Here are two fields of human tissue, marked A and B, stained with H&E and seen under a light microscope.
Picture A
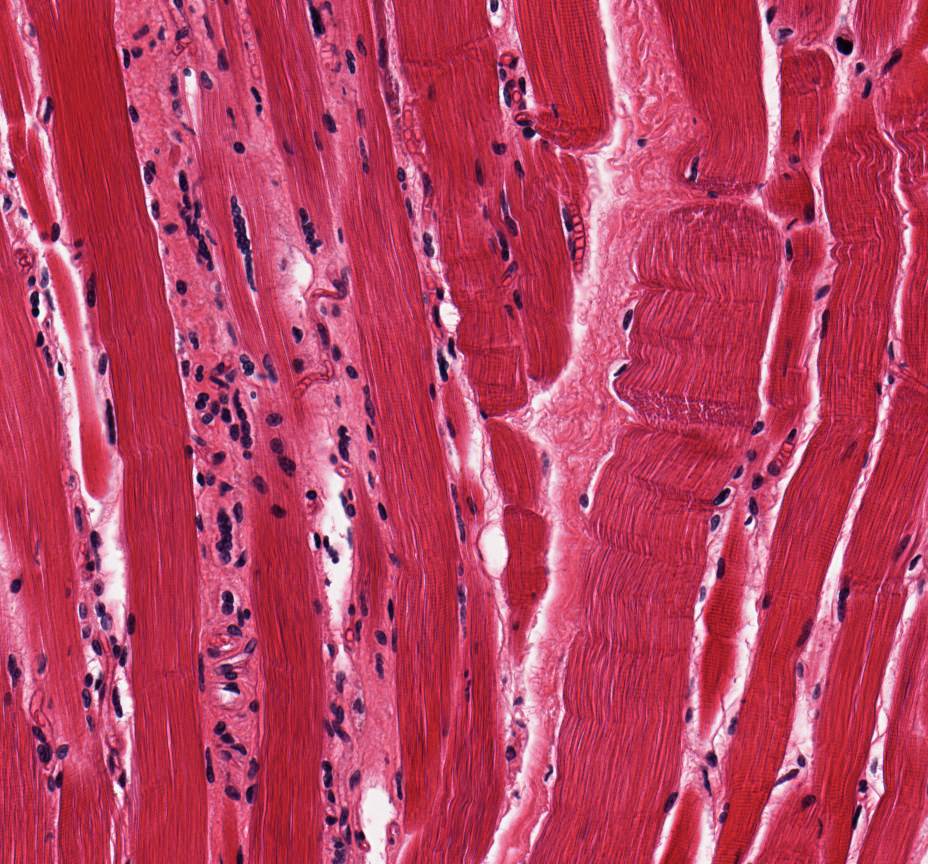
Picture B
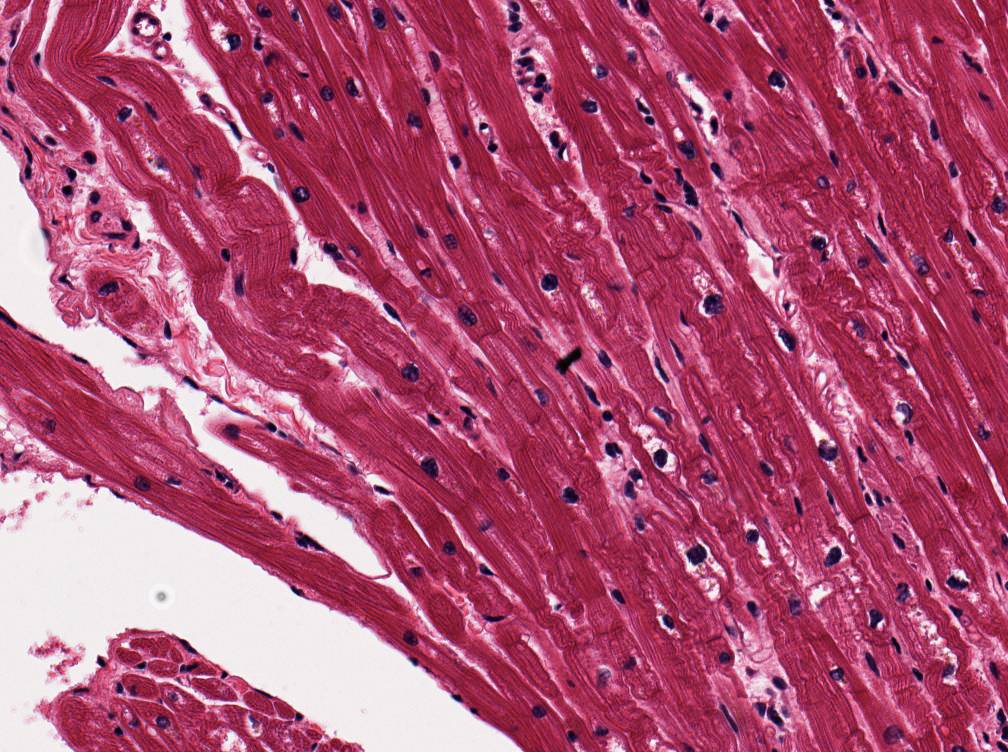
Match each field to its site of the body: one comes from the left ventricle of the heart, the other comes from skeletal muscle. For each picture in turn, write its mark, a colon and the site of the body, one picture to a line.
A: skeletal muscle
B: left ventricle of the heart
